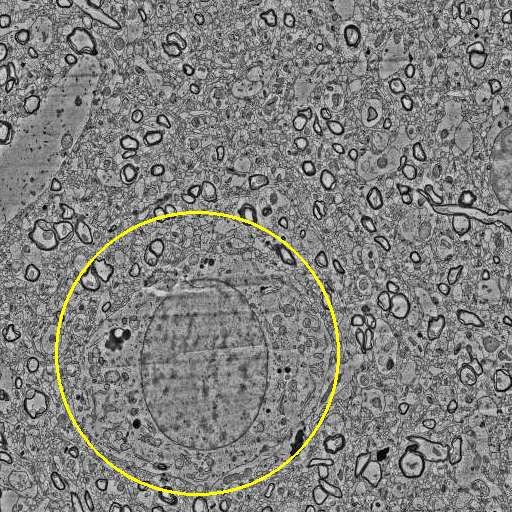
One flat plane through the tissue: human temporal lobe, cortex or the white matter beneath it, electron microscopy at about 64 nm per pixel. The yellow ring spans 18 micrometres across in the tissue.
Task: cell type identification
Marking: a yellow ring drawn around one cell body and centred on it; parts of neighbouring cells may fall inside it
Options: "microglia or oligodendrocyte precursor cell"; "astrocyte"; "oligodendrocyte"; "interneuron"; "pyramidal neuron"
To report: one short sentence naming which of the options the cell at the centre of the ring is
The cell at the centre of the ring is an interneuron.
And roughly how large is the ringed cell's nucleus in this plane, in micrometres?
In this plane, the nucleus is roughly 11 by 8 micrometres.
